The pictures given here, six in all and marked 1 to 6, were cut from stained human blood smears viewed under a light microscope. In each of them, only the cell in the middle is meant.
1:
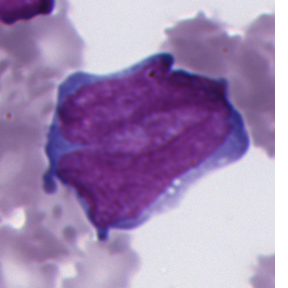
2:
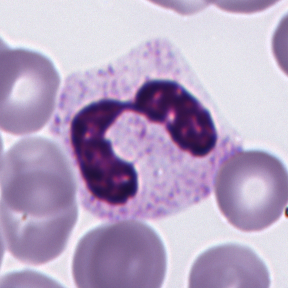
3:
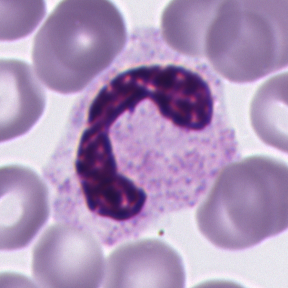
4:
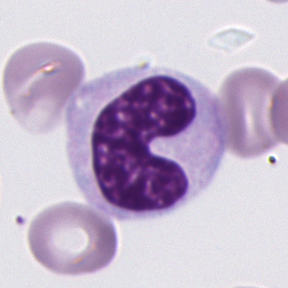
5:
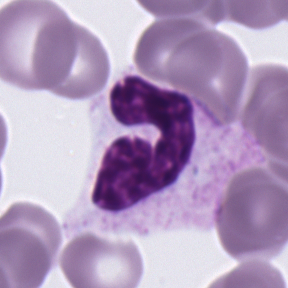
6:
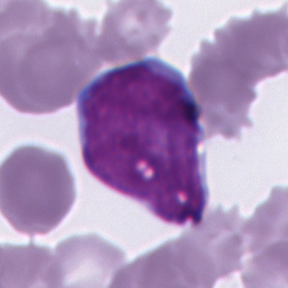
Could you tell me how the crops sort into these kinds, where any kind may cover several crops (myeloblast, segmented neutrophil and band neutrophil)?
1: myeloblast
2: segmented neutrophil
3: segmented neutrophil
4: band neutrophil
5: segmented neutrophil
6: myeloblast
